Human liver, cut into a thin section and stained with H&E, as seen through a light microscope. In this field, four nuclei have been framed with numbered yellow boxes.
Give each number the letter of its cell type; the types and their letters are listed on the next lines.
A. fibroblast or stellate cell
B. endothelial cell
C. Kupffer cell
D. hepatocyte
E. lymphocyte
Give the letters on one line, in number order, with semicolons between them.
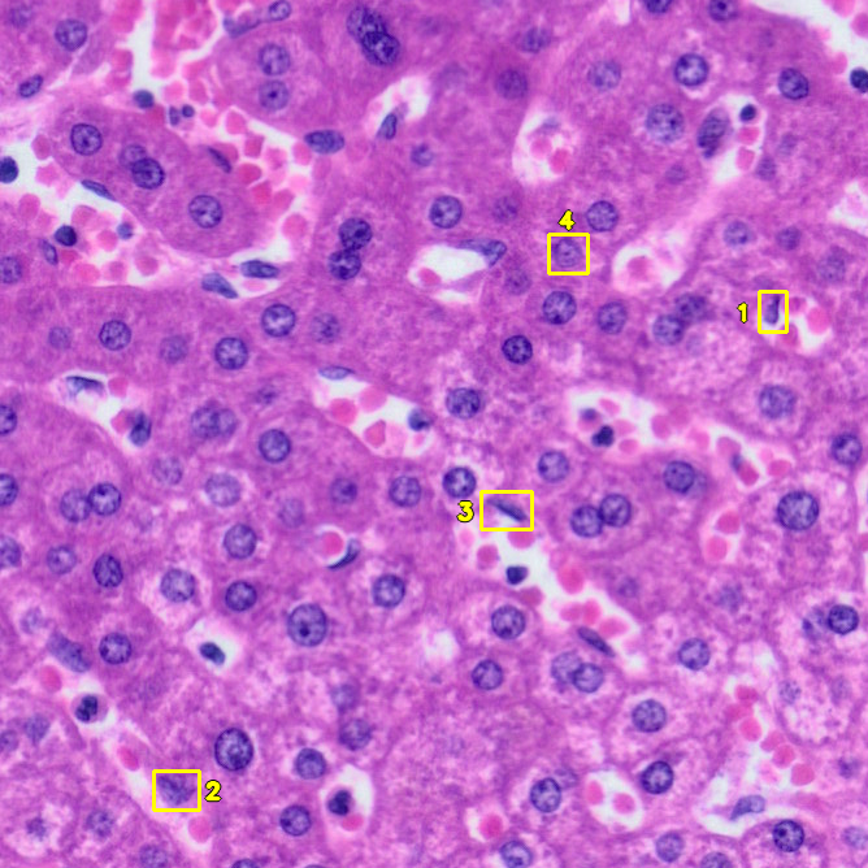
B; C; B; D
